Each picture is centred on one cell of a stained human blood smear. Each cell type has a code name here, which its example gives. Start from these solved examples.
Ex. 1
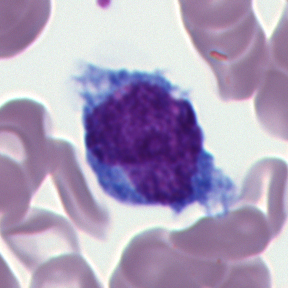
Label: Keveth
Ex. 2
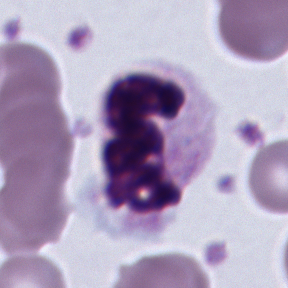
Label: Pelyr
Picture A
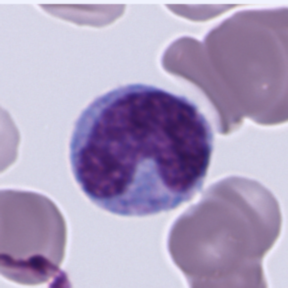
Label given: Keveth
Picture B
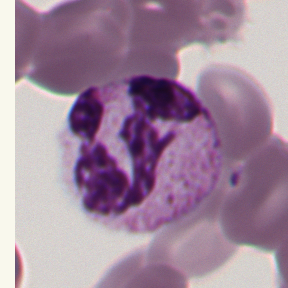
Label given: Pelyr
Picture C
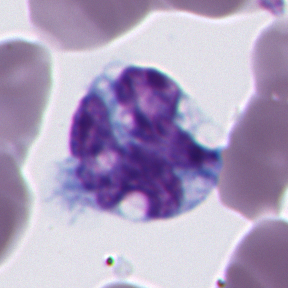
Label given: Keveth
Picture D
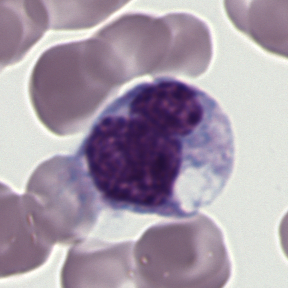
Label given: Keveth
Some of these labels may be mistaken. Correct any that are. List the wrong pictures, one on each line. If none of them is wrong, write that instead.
Every label is right.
